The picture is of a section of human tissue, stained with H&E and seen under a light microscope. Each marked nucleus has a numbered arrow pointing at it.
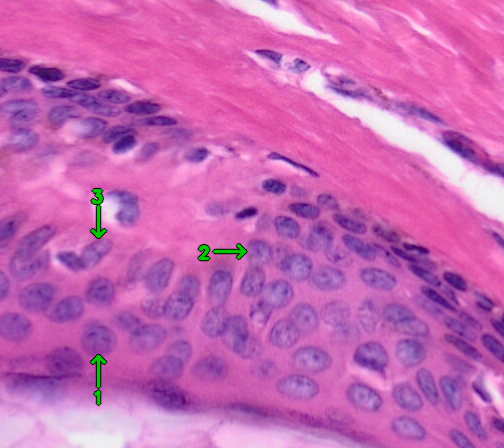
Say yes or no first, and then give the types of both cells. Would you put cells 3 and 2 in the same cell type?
Yes, the two numbered cells 3 and 2 are both basal keratinocytes.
